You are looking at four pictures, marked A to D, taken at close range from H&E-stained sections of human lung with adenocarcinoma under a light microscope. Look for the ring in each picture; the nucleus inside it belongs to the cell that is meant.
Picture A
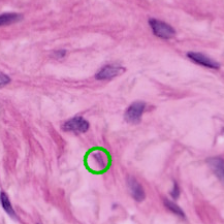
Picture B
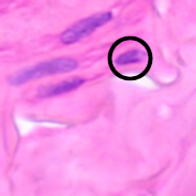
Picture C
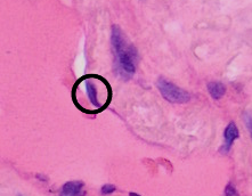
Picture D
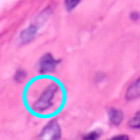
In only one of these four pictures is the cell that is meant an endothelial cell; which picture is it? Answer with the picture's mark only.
C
